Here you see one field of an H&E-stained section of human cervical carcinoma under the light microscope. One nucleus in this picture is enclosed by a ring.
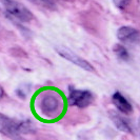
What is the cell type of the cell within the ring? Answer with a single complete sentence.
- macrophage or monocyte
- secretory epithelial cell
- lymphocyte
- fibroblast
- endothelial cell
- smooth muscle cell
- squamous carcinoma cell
The cell within the ring is a macrophage or monocyte.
